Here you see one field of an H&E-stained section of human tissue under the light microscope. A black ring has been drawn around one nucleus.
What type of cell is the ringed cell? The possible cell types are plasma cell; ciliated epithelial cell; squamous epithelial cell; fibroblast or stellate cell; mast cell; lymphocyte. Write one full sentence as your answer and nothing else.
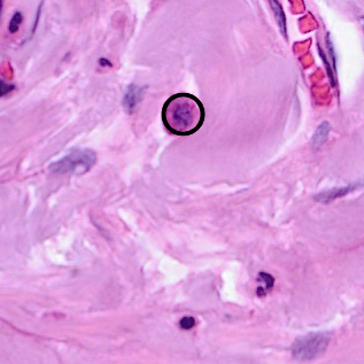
Among the cells in this section, the ringed cell is a mast cell.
